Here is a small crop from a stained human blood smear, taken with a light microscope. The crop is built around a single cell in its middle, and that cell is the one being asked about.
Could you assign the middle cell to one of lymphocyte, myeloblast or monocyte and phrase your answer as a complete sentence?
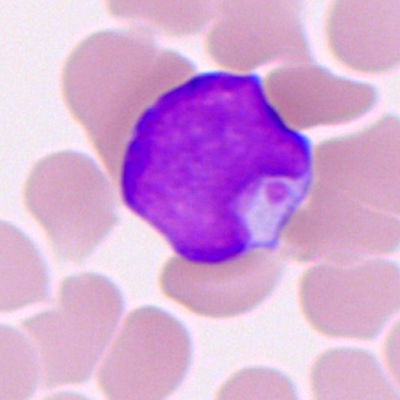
Answering briefly, the cell in the middle is a myeloblast.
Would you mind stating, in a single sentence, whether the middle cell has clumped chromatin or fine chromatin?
The chromatin remains finely textured, with no coarse clumps to speak of.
